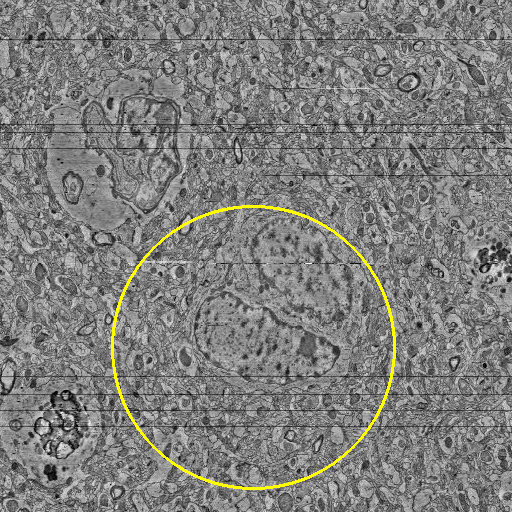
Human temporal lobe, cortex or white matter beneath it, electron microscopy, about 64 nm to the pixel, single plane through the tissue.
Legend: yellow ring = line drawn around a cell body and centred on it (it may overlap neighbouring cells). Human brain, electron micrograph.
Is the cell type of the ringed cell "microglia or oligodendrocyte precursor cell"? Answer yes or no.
yes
